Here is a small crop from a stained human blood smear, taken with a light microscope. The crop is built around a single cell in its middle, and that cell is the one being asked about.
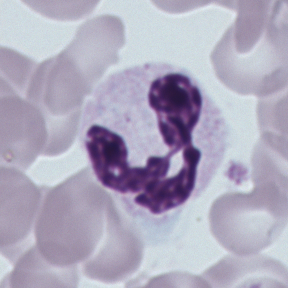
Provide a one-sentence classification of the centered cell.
The center cell of this crop is a segmented neutrophil.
